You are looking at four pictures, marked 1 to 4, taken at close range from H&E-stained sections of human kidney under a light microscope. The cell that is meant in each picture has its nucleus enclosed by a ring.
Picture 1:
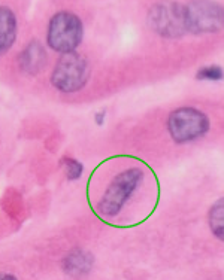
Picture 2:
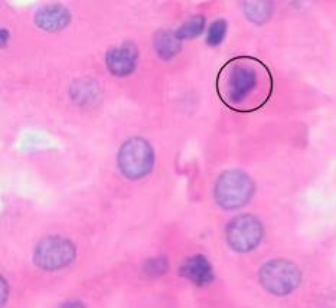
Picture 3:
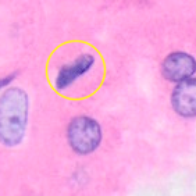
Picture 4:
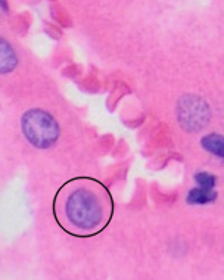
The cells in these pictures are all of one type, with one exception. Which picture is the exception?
3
